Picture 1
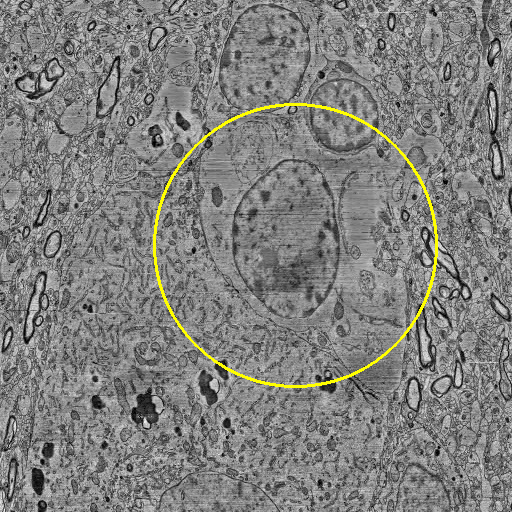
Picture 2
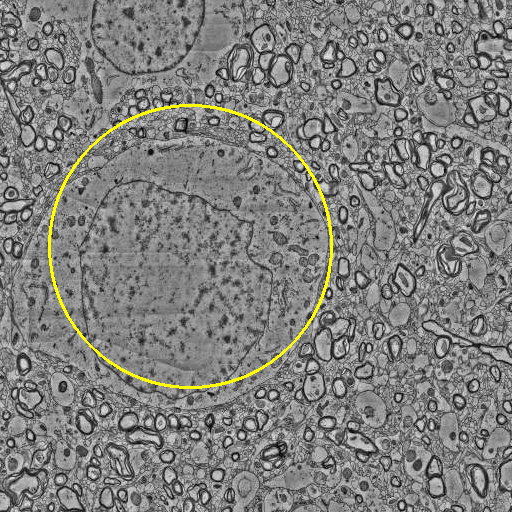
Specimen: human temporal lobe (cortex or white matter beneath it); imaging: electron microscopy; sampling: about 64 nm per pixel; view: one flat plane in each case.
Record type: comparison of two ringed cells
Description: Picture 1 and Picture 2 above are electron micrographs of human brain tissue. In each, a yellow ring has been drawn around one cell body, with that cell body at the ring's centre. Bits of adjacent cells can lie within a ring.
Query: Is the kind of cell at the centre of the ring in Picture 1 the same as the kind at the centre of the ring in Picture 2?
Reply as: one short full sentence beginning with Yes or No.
No, the two ringed cells are of two separate kinds.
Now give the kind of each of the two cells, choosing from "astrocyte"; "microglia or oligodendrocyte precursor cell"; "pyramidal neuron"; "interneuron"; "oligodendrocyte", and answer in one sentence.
The cell in the first picture is an astrocyte, and the cell in the second is a pyramidal neuron.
